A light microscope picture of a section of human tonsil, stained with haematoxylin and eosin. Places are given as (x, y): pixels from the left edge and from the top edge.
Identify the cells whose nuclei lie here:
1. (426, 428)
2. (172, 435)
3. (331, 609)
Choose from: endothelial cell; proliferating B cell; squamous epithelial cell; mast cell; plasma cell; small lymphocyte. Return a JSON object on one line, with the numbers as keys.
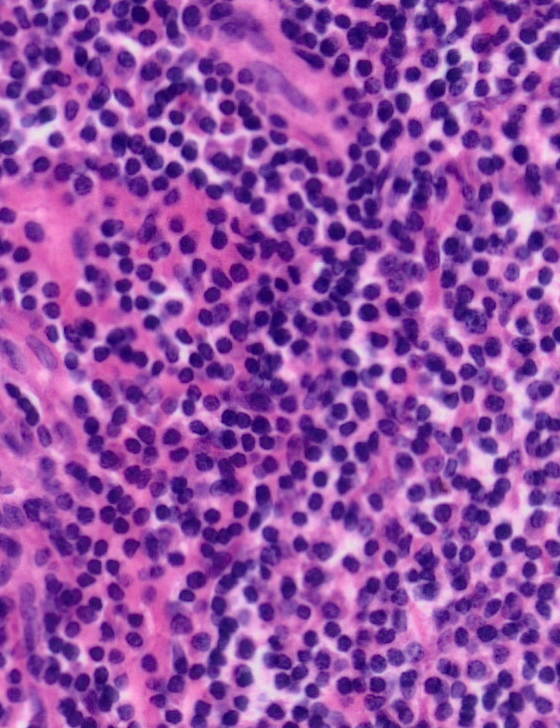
{"1": "small lymphocyte", "2": "plasma cell", "3": "plasma cell"}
